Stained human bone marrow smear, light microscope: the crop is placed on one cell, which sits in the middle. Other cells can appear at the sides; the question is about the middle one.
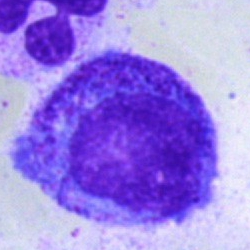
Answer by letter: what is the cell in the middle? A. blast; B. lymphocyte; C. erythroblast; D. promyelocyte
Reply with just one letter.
D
